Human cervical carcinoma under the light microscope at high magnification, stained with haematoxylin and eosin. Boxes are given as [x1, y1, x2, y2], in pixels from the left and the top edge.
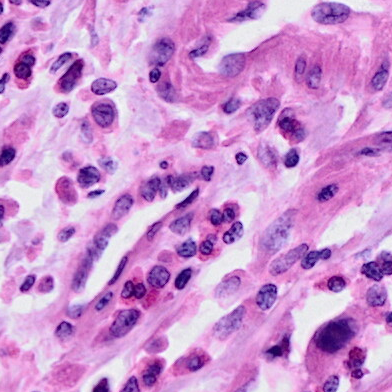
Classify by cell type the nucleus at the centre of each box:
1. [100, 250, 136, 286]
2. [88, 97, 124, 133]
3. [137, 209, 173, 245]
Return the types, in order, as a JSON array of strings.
["endothelial cell", "macrophage or monocyte", "endothelial cell"]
